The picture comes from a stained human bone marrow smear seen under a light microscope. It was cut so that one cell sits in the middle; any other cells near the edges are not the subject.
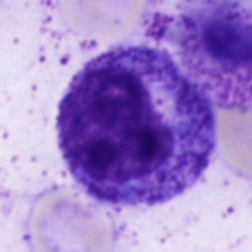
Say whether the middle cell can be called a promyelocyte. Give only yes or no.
yes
